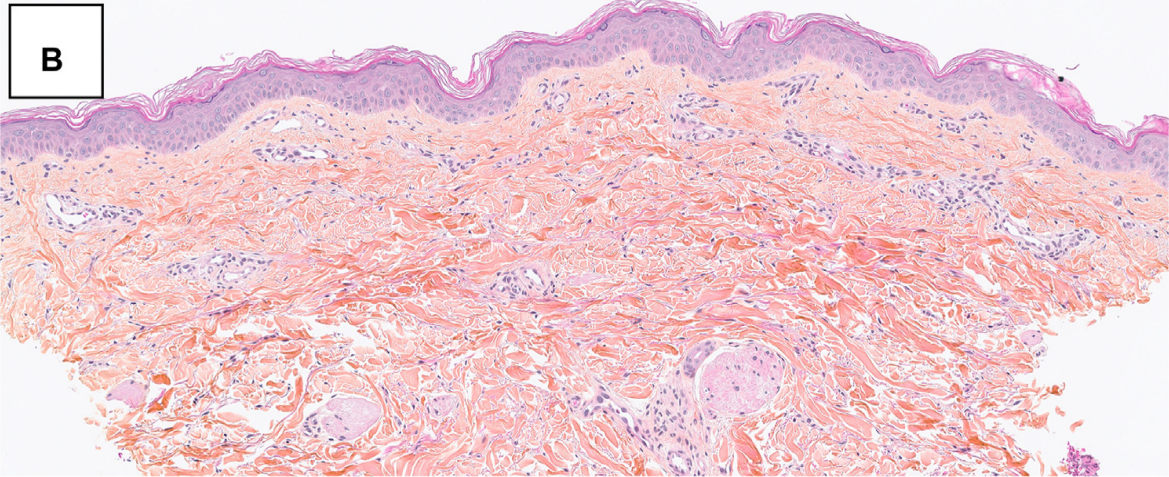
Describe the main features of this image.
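This is skin at lower magnification, showing epidermis and a broad stretch of dermis. The epidermis is a thin layer of keratinocytes with purple nuclei under a pink horny layer, with a gently undulating lower border. The dermis is filled with pink-orange collagen bundles that become denser further down. Small vessels in the upper dermis are surrounded by loose clusters of small dark nuclei, a sparse perivascular infiltrate. Deeper in the dermis, pale rounded bundles of nerve or smooth muscle are cut across.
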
